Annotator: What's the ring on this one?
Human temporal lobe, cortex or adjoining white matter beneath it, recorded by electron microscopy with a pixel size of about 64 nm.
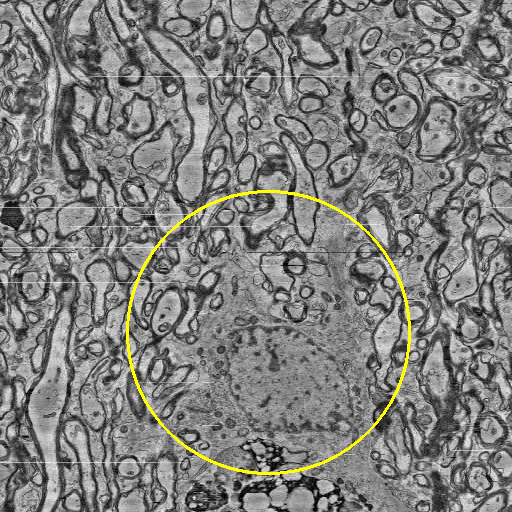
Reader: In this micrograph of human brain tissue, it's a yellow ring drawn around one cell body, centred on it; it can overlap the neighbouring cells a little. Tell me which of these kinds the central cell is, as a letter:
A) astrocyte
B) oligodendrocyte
A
